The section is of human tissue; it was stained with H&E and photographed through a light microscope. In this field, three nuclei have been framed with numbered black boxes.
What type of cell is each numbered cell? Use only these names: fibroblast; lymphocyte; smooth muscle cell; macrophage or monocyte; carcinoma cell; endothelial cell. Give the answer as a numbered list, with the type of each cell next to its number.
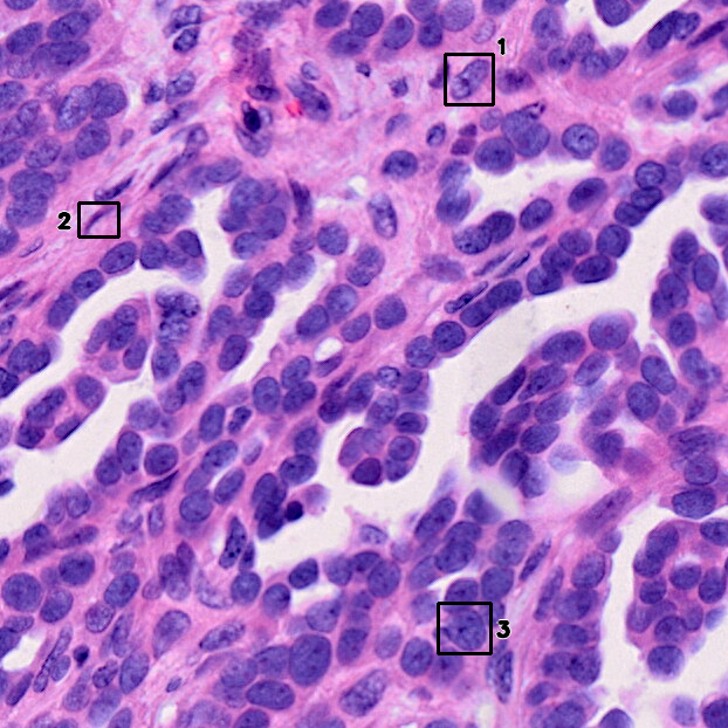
1. fibroblast
2. fibroblast
3. carcinoma cell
